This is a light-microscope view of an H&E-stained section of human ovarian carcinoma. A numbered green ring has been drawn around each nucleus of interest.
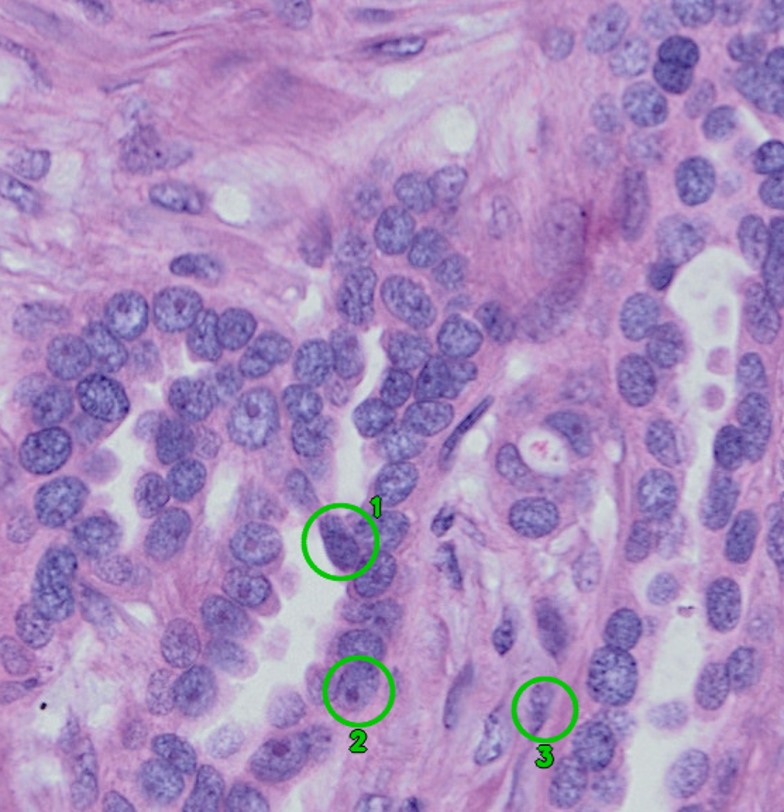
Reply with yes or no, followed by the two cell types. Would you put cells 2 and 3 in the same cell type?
No: cell 2 is a carcinoma cell, while cell 3 is a fibroblast.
